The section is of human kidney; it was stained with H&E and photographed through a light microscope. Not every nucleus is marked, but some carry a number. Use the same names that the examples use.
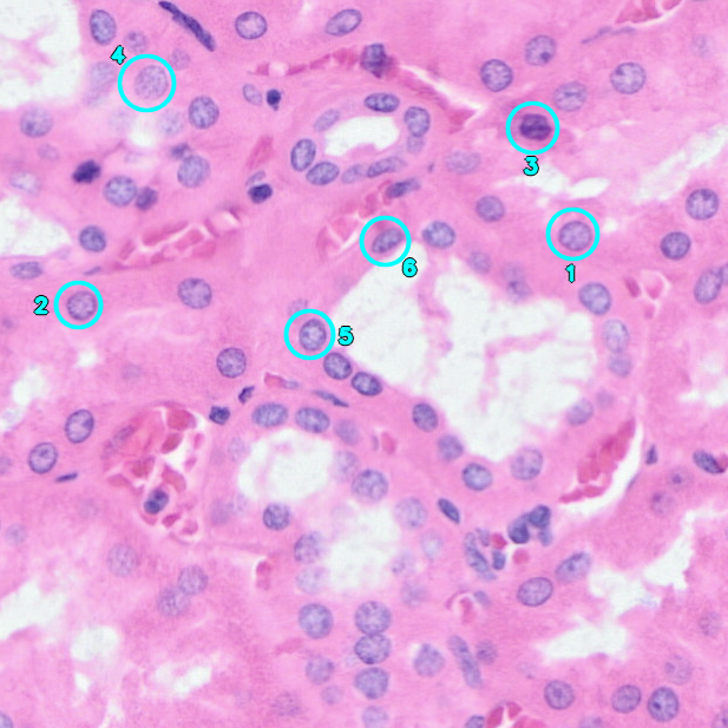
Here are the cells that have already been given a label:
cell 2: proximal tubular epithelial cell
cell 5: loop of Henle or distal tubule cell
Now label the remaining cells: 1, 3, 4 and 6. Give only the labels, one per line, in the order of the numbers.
proximal tubular epithelial cell
proximal tubular epithelial cell
loop of Henle or distal tubule cell
loop of Henle or distal tubule cell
